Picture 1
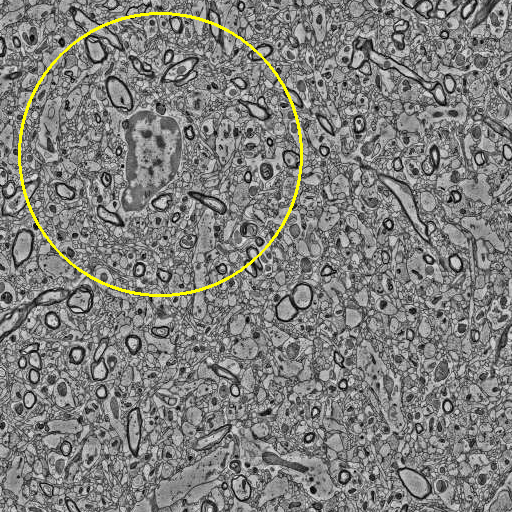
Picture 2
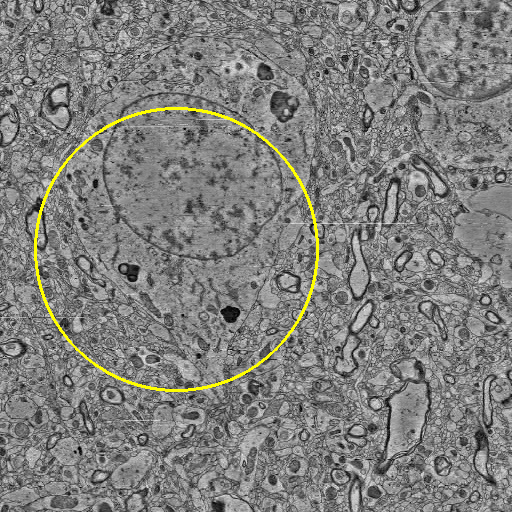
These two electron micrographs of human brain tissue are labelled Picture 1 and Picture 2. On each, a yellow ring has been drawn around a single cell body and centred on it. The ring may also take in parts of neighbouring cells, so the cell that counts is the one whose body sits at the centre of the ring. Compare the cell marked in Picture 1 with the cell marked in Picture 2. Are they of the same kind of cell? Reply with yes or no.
no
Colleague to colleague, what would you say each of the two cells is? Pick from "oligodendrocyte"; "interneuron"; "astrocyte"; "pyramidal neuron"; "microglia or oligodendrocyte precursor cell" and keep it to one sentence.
The cell in the first picture is a microglial cell or oligodendrocyte precursor cell; the second picture's cell is a pyramidal neuron.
